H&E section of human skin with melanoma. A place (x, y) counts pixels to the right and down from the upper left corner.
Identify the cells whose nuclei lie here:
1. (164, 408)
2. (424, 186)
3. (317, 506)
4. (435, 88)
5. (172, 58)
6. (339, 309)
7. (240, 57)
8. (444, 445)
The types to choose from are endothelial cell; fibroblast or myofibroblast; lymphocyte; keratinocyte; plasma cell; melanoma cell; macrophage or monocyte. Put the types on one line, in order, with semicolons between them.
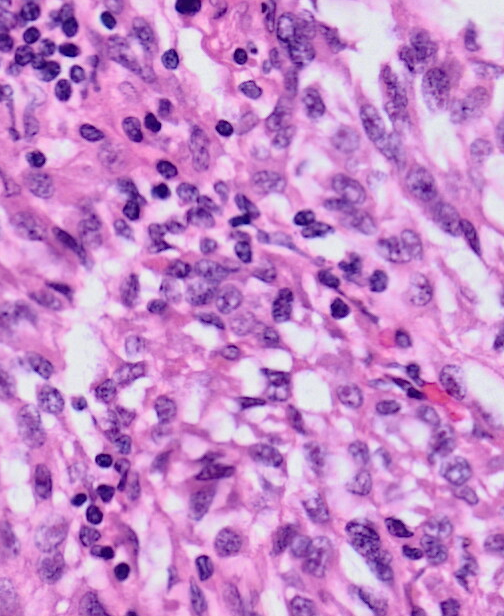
melanoma cell; melanoma cell; melanoma cell; melanoma cell; lymphocyte; lymphocyte; lymphocyte; melanoma cell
